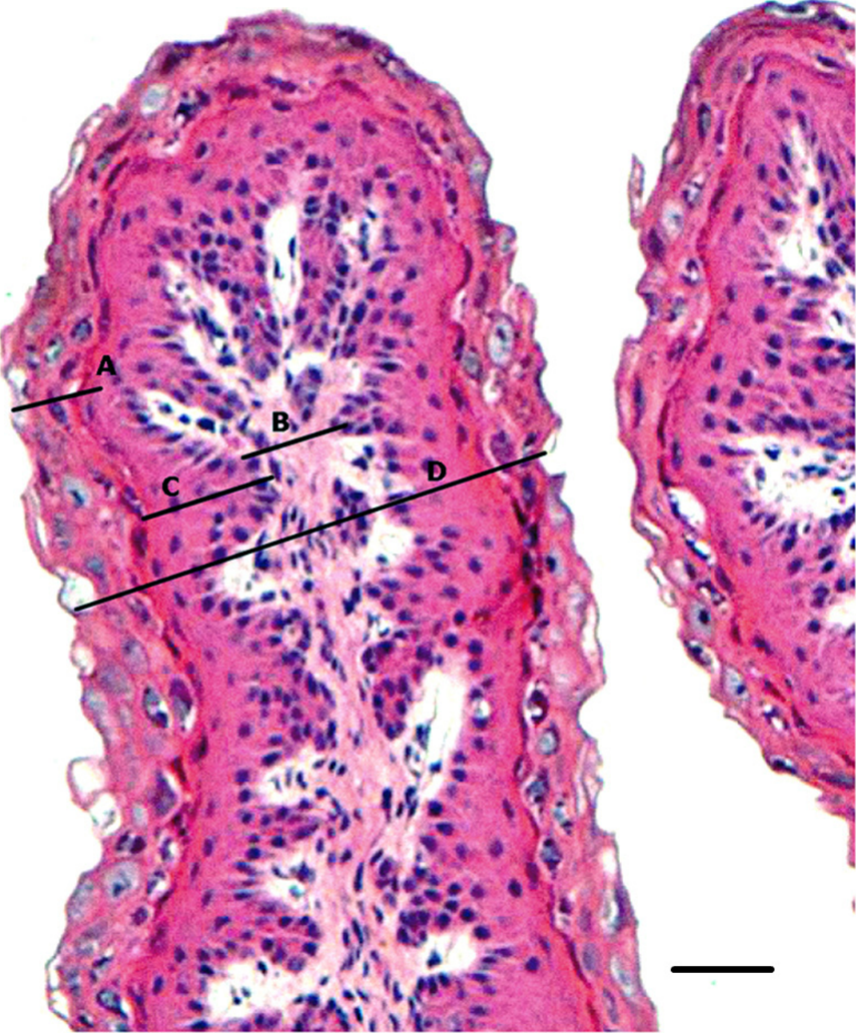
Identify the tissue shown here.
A: Ruminal papillae.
